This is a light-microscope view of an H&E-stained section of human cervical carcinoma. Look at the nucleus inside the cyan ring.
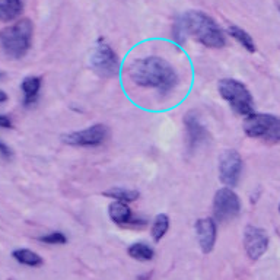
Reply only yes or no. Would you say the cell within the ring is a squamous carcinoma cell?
no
